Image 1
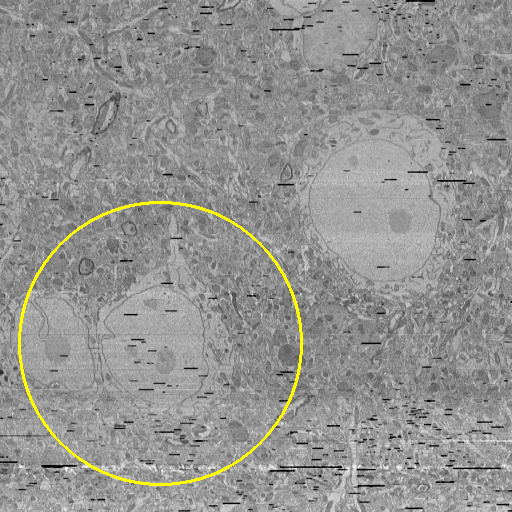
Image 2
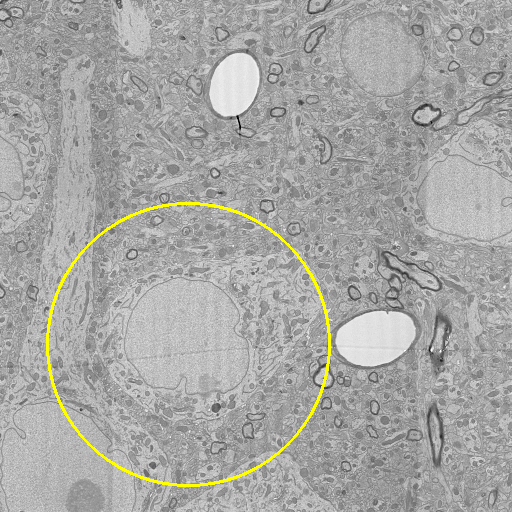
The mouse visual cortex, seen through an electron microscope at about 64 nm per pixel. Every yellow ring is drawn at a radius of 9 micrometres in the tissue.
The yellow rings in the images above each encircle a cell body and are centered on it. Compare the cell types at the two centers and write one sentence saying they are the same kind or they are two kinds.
Taken together, the two cells at the ring centers are two kinds.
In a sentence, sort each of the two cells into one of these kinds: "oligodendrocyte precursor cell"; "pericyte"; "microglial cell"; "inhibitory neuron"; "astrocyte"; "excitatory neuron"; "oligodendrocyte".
The first of the two cells is an excitatory neuron, and the second is an inhibitory neuron.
